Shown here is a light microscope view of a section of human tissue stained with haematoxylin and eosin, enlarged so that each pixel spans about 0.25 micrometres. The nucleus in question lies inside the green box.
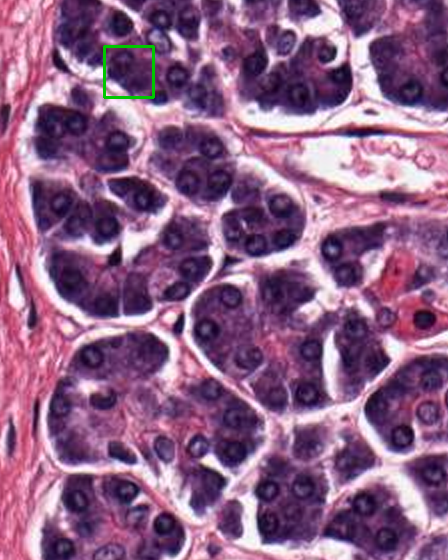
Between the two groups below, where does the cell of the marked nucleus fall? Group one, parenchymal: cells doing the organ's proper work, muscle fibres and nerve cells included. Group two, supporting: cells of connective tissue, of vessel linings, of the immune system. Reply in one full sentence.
The marked nucleus belongs to the parenchyma, being the nucleus of a pancreatic acinar cell.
